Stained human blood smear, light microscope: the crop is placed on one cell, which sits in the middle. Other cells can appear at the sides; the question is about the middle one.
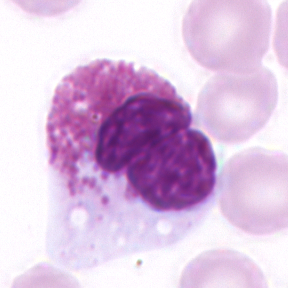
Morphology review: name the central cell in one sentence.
In the centre of this crop there is an eosinophil.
